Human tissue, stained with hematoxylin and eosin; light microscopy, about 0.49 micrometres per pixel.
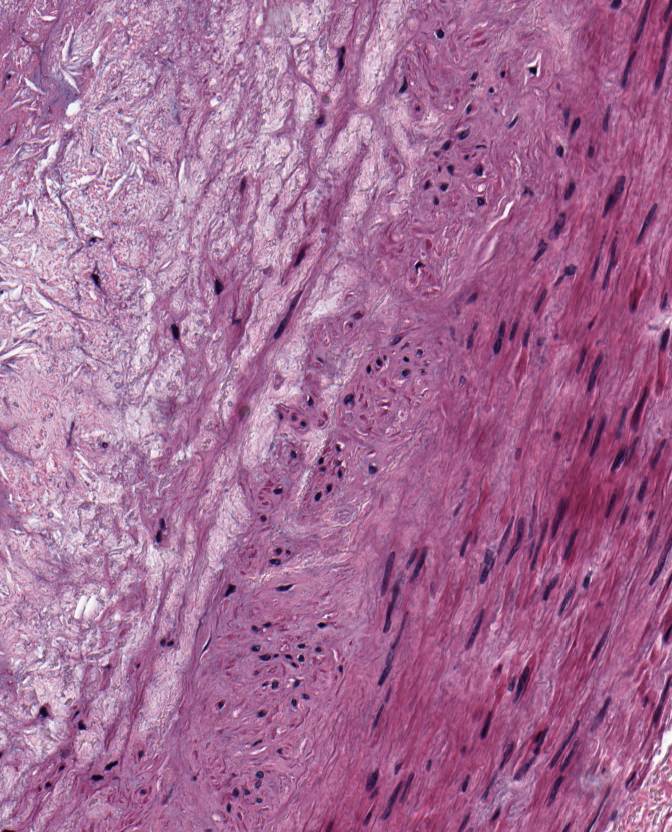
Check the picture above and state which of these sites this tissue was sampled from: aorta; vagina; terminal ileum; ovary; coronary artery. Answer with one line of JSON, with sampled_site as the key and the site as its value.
{"sampled_site": "coronary artery"}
